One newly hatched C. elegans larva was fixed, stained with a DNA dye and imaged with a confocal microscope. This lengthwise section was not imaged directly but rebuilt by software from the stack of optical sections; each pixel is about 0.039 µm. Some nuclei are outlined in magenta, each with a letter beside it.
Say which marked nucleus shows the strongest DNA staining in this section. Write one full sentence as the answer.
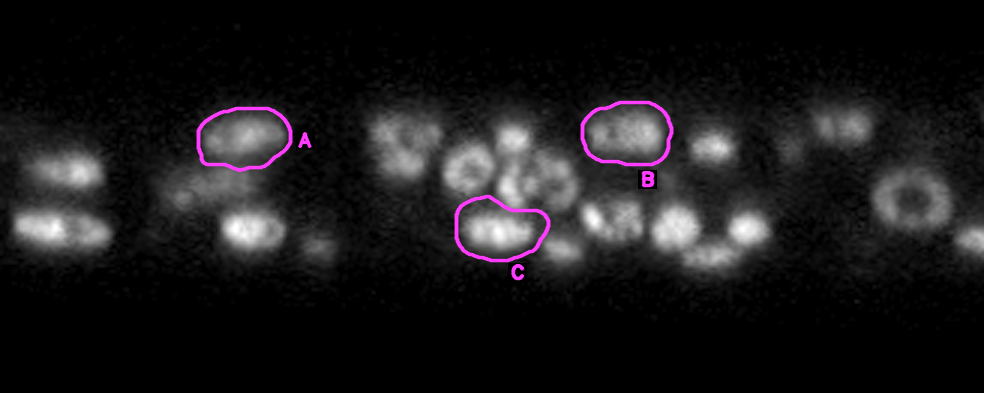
C is the most strongly stained.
